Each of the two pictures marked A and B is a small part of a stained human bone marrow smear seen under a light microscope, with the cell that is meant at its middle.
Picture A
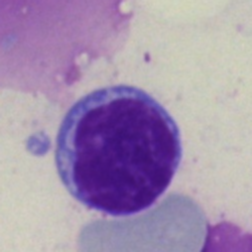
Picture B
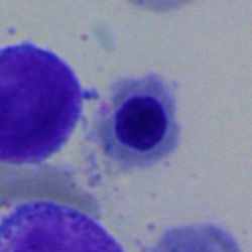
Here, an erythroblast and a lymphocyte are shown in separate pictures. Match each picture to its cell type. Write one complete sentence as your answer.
The cell in picture A is a lymphocyte, and the one in picture B is an erythroblast.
